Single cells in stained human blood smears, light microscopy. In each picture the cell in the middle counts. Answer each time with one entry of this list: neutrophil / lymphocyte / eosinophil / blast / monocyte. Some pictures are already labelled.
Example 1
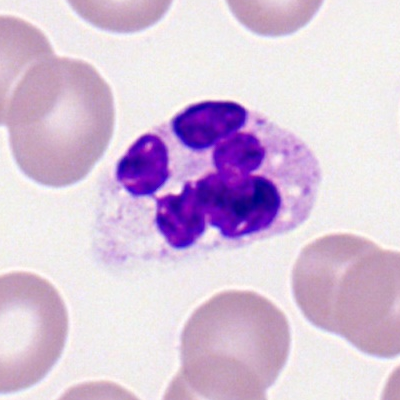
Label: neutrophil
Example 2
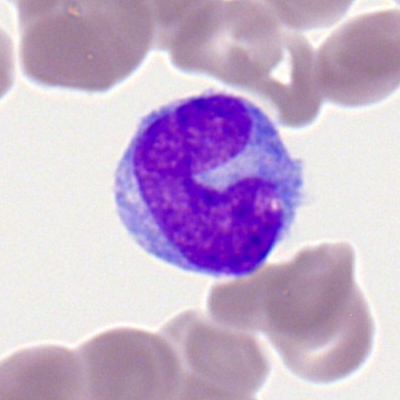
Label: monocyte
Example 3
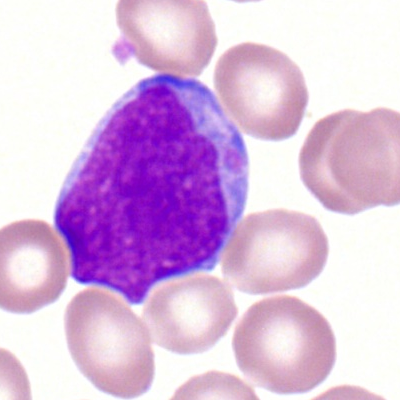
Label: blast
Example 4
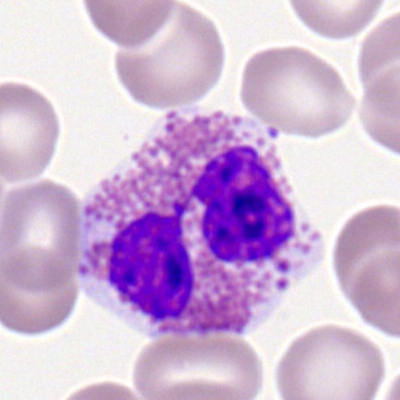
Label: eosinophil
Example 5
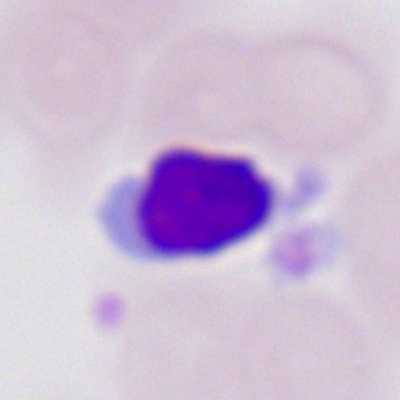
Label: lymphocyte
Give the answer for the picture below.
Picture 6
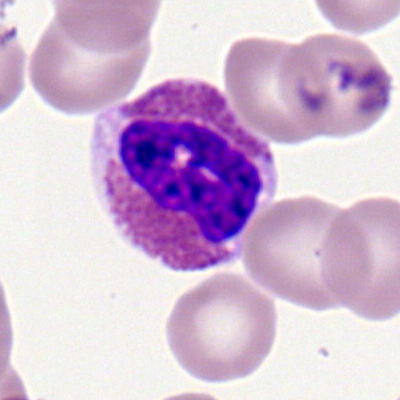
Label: eosinophil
